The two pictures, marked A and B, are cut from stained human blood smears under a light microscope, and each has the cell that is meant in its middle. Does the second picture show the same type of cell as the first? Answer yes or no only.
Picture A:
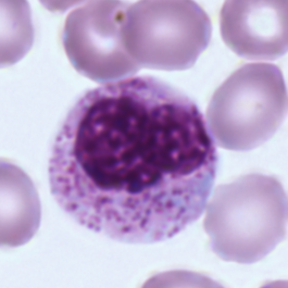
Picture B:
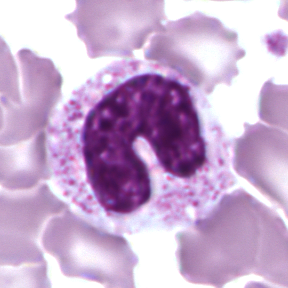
yes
